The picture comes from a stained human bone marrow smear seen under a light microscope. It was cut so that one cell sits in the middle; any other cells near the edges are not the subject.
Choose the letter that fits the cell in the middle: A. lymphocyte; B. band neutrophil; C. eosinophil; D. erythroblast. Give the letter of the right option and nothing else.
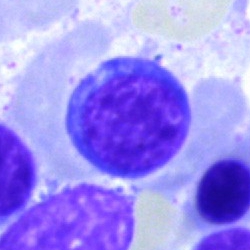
A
